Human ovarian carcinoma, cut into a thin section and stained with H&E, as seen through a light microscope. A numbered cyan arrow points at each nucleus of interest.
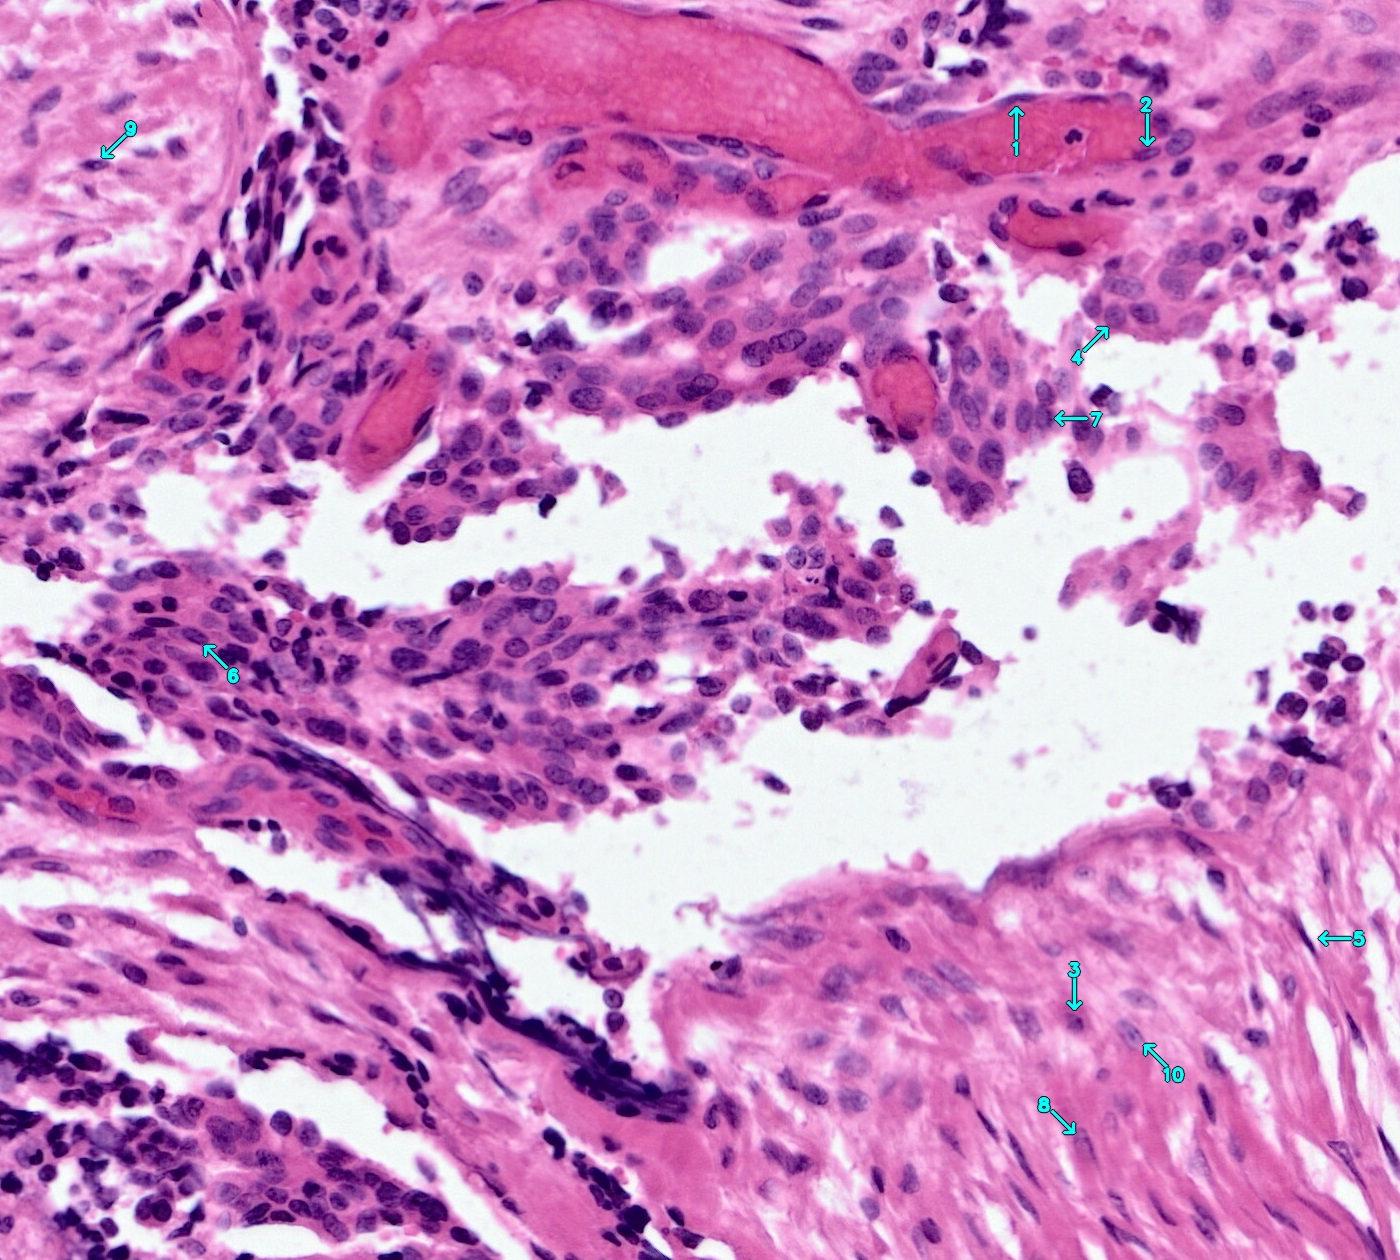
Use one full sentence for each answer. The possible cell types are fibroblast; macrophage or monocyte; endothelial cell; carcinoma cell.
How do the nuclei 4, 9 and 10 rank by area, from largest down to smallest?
By area, largest first, they run 10, 4, 9.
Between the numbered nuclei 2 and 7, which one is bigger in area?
At about 1.5 times the area of nucleus 2, nucleus 7 is the larger of the two.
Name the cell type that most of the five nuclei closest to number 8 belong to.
Around number 8, most of the five nearest nuclei are those of fibroblasts.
